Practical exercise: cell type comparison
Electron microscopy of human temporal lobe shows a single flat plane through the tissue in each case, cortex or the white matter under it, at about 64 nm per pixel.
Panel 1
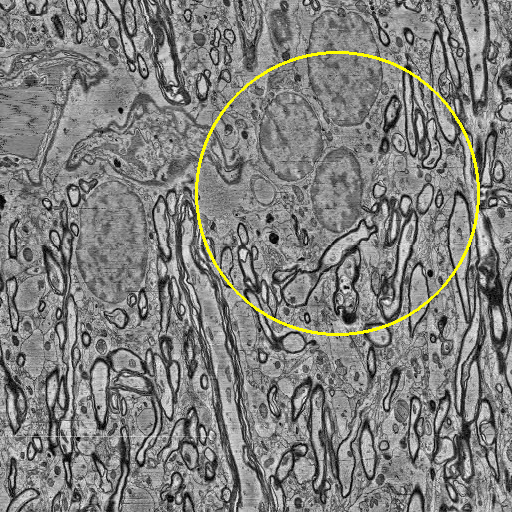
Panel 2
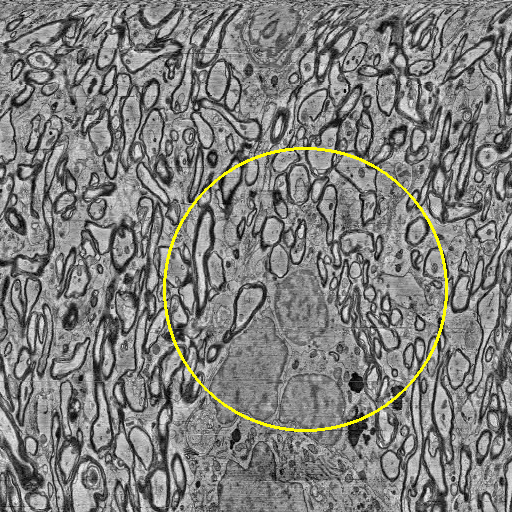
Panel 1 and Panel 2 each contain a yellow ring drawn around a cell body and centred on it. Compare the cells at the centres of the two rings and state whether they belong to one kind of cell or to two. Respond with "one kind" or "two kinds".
one kind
